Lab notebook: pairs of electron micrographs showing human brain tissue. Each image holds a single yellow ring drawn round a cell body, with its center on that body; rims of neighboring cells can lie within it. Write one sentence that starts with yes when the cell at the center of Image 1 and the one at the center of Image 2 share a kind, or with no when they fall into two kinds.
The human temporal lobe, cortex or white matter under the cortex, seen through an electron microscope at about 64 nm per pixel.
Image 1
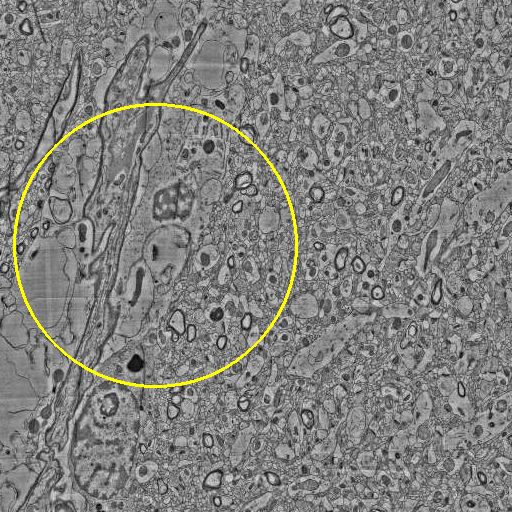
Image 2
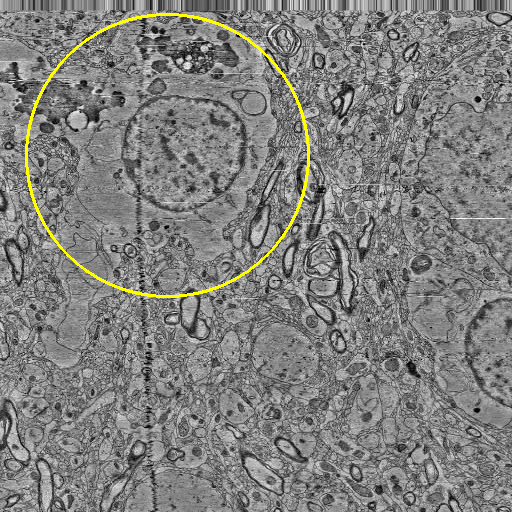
No, the centered cell in Image 1 and the centered cell in Image 2 are of two kinds.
